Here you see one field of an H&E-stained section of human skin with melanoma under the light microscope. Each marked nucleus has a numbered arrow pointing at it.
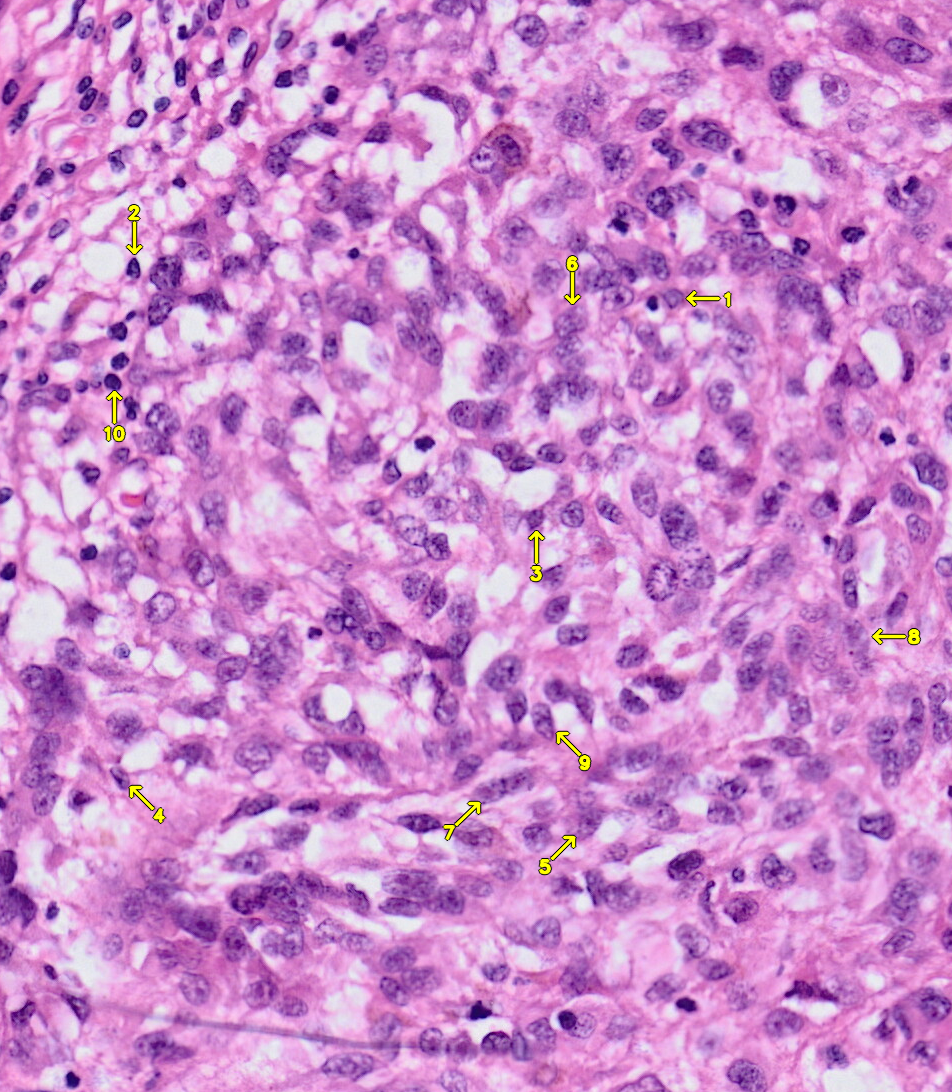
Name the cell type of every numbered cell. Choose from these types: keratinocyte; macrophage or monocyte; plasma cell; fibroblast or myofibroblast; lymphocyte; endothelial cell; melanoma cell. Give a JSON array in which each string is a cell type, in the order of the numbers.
["macrophage or monocyte", "lymphocyte", "melanoma cell", "macrophage or monocyte", "melanoma cell", "melanoma cell", "melanoma cell", "melanoma cell", "melanoma cell", "lymphocyte"]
